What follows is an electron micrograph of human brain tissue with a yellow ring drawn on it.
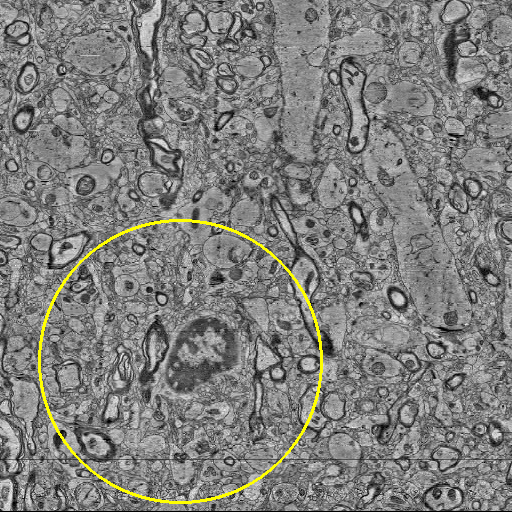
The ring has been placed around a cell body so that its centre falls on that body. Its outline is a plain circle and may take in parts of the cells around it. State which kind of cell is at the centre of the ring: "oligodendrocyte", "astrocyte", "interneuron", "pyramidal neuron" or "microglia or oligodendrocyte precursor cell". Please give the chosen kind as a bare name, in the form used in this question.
microglia or oligodendrocyte precursor cell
